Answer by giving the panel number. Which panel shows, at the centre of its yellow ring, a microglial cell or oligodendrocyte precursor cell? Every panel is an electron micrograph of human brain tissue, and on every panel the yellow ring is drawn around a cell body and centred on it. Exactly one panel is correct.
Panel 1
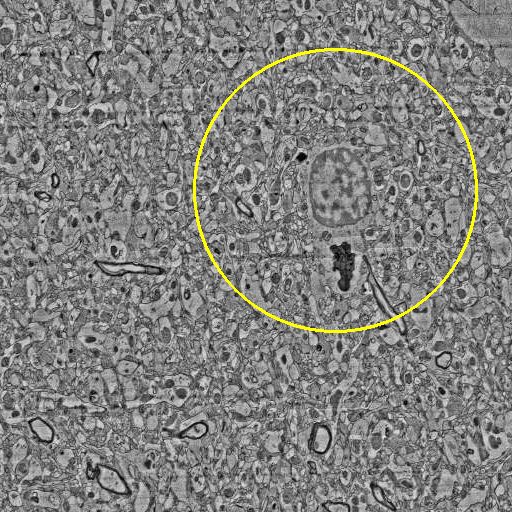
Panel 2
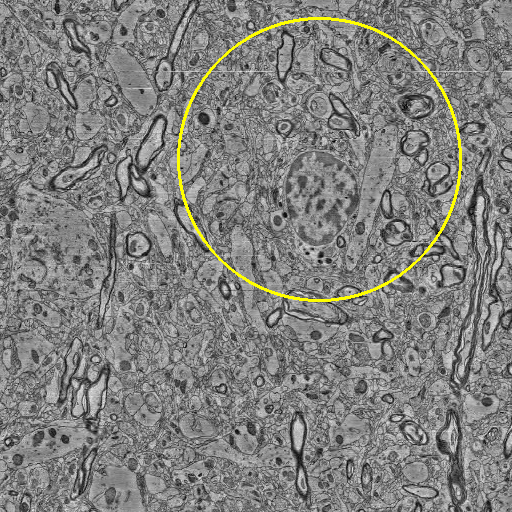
2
